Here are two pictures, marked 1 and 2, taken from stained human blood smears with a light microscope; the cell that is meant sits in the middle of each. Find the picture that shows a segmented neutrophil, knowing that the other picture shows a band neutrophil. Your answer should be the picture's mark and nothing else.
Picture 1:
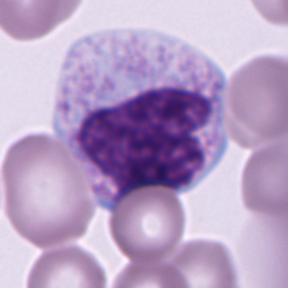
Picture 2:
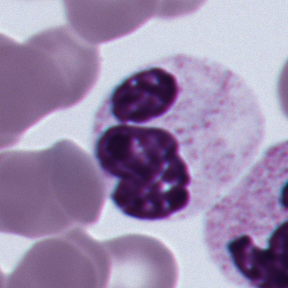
2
